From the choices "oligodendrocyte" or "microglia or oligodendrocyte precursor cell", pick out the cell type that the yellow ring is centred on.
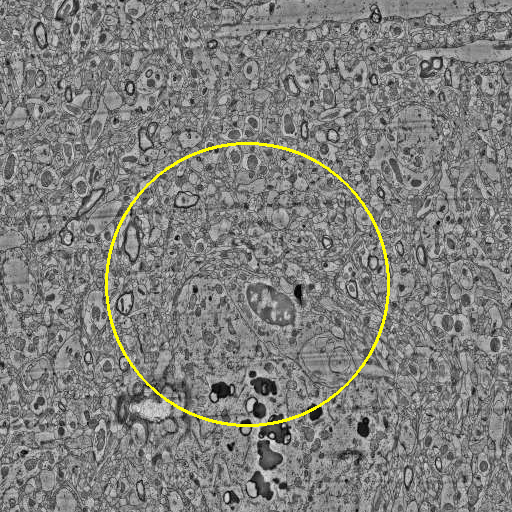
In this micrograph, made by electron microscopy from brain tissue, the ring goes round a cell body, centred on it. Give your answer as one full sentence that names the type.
The yellow ring is centred on a microglial cell or oligodendrocyte precursor cell, whose cell body it encircles in the picture.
